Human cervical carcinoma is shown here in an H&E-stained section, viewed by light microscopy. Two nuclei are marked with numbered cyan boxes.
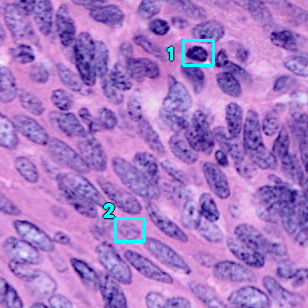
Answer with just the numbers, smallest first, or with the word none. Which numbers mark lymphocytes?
1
